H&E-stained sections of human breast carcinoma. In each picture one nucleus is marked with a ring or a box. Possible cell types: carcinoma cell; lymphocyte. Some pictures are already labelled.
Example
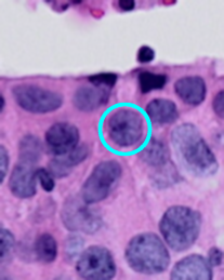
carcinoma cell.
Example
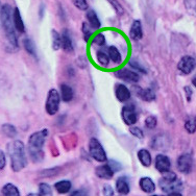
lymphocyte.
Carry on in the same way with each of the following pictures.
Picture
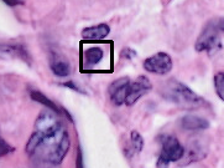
lymphocyte.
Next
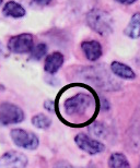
lymphocyte.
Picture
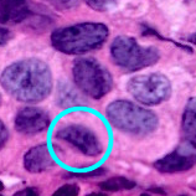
carcinoma cell.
